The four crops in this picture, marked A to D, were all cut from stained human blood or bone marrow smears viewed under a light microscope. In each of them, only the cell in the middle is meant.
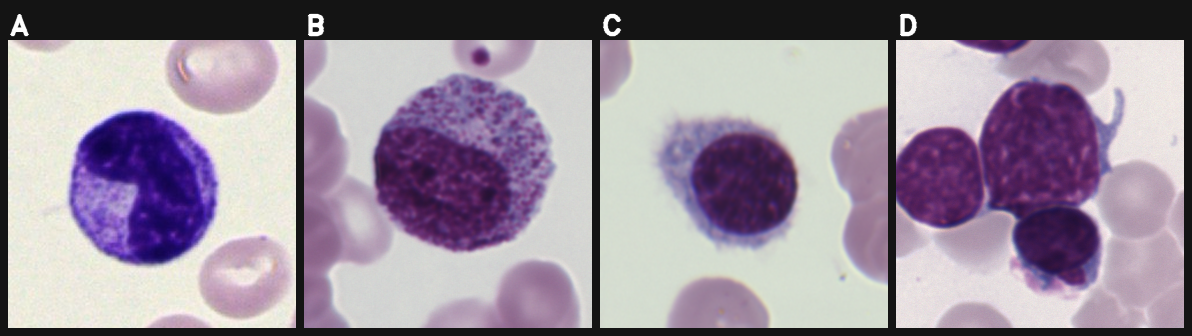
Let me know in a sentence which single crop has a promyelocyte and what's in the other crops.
In crop B the cell is a promyelocyte, whereas crop A is a band neutrophil, crop C is a hairy cell and crop D is a blast.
